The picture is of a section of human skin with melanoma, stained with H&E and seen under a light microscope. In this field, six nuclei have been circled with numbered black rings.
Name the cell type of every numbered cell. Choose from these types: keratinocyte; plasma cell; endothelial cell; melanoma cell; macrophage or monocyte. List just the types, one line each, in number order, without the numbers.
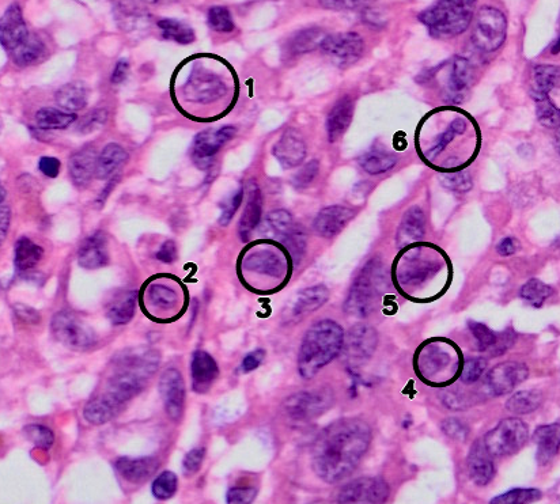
melanoma cell
macrophage or monocyte
melanoma cell
melanoma cell
melanoma cell
macrophage or monocyte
